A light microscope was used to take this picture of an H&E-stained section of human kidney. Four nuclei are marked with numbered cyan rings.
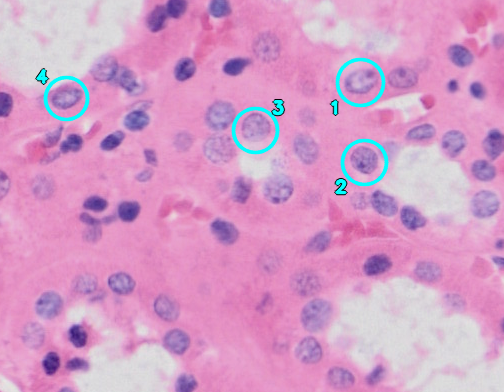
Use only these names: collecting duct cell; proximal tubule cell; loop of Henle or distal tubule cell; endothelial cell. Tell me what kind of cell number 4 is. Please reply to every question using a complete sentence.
The cell numbered 4 has been identified as a loop of Henle or distal tubule cell.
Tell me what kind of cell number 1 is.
The cell that carries the label 1 is a proximal tubule cell.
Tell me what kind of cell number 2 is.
The cell marked with the number 2 is a loop of Henle or distal tubule cell.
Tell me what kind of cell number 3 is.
The cell referred to as 3 is a loop of Henle or distal tubule cell.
